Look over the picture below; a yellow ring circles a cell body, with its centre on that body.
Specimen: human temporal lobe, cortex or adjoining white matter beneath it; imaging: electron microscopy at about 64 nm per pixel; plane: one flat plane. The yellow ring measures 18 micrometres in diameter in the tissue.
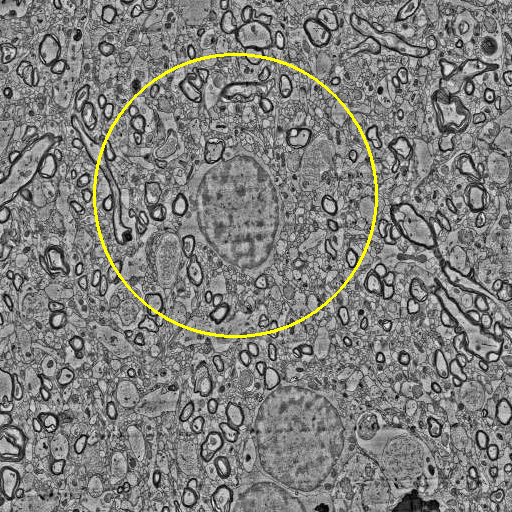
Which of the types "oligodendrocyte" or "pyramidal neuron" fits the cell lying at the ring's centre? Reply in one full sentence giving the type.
The picture shows an oligodendrocyte at the centre of the yellow ring.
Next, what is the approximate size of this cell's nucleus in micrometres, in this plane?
In this plane, the nucleus of the cell at the centre of the ring measures about 7 by 6 micrometres.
